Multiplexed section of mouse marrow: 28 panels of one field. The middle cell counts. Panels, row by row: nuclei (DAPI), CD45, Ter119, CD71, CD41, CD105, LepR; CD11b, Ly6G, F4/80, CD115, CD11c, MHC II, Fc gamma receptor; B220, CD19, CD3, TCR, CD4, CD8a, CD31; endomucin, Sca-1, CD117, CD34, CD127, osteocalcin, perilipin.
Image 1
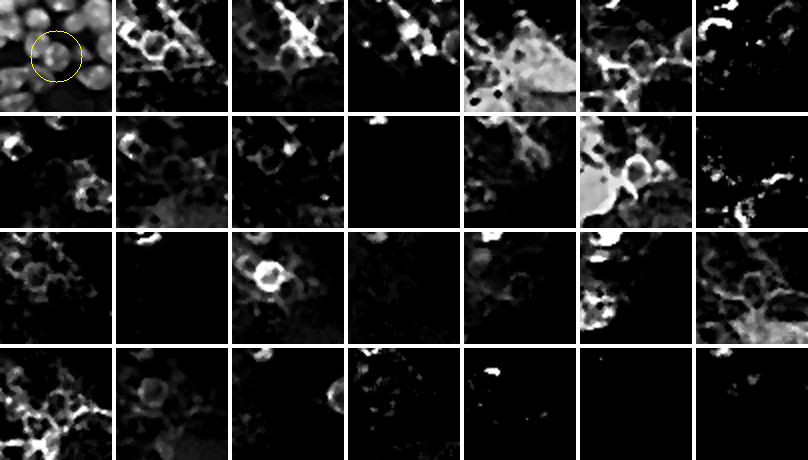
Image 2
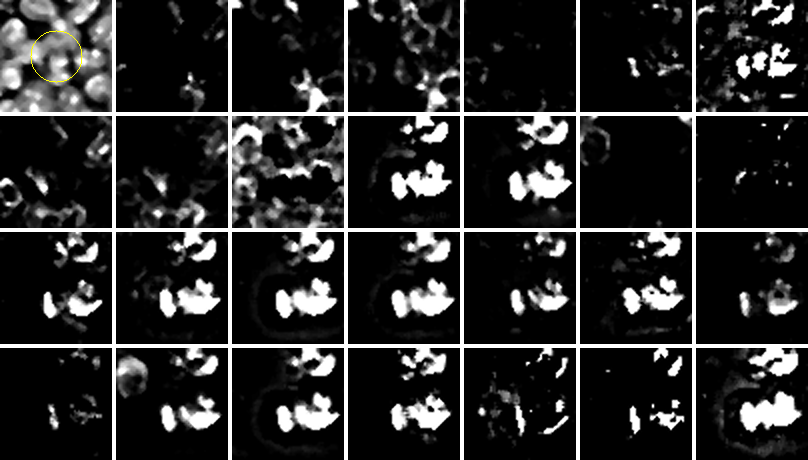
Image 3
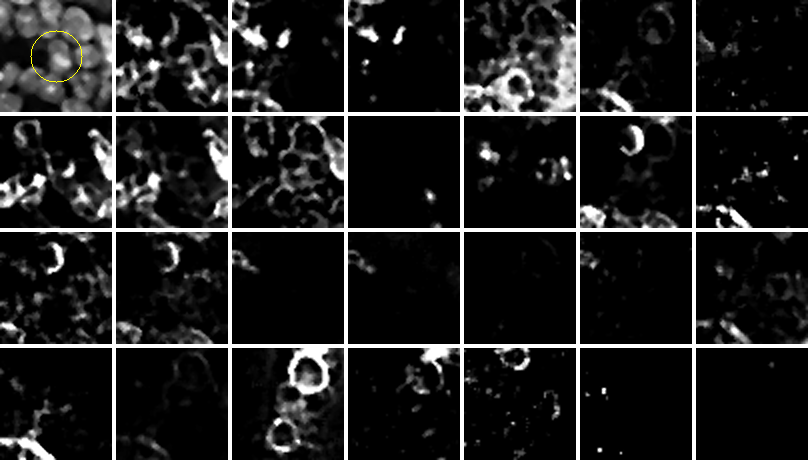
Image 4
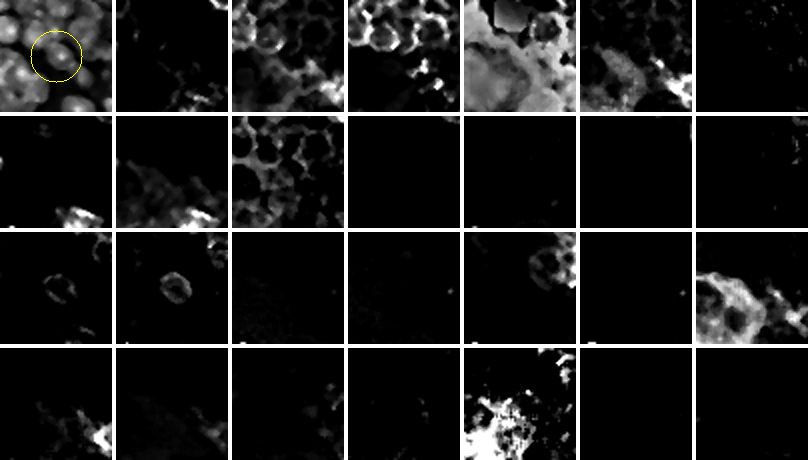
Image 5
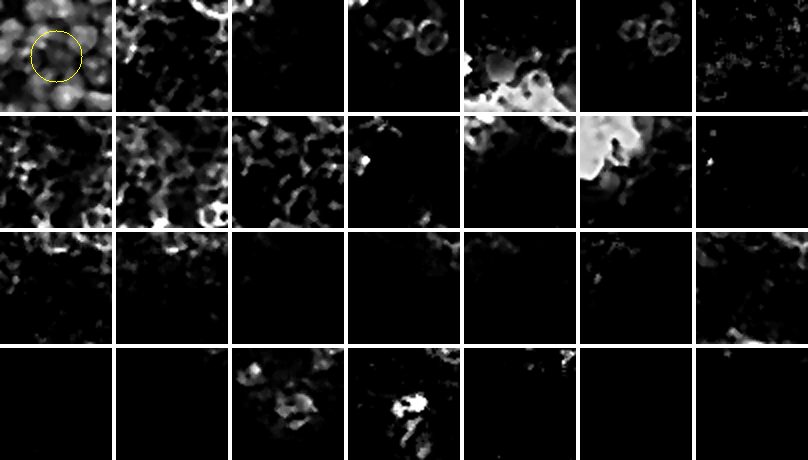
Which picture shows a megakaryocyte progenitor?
Picture 3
